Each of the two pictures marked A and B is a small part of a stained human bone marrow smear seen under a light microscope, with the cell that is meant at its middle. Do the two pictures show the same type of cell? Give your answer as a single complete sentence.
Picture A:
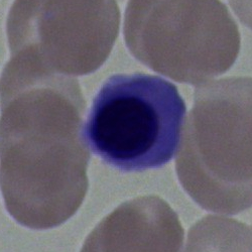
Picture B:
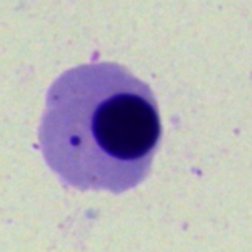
Yes, the two pictures both show erythroblasts.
